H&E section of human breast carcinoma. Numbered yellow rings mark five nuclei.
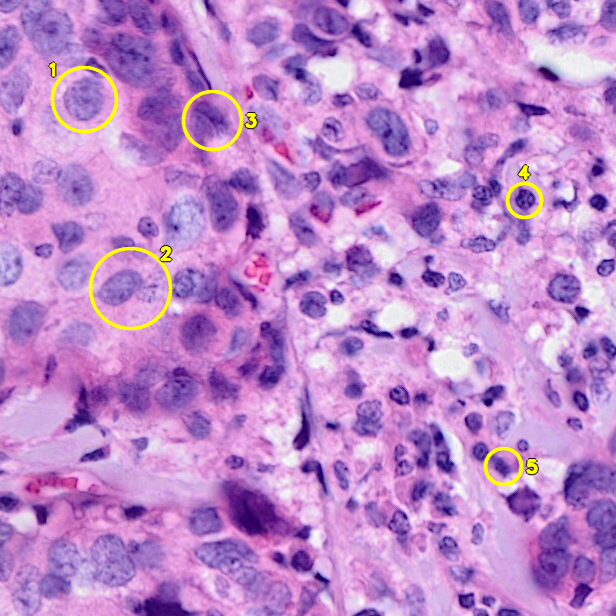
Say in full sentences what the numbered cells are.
Cells 1, 2 and 3 are carcinoma cells. Cells 4 and 5 are lymphocytes.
